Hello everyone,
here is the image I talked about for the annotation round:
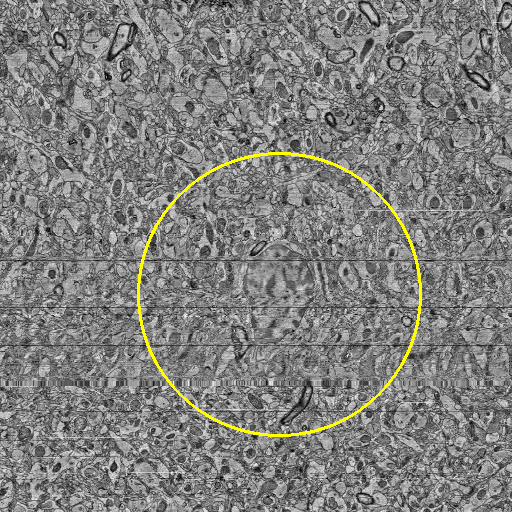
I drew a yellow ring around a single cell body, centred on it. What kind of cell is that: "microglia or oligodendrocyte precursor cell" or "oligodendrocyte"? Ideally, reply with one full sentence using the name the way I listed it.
The cell your yellow ring is centred on is a microglial cell or oligodendrocyte precursor cell, going by your list.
